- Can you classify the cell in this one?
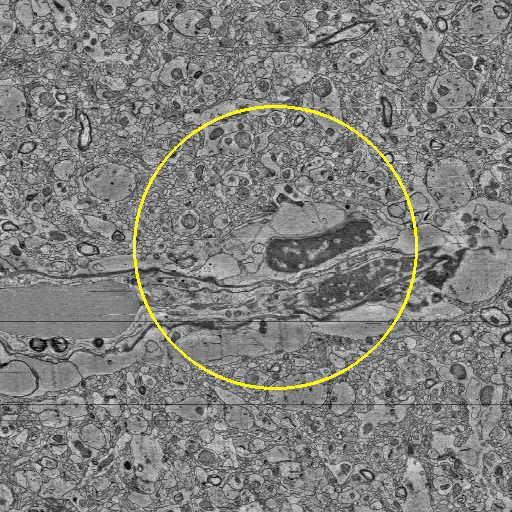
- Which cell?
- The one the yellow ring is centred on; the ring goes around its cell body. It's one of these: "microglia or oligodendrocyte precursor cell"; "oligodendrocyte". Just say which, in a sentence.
The cell body in the ring belongs to a microglial cell or oligodendrocyte precursor cell.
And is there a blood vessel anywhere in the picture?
Yes, one shows.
